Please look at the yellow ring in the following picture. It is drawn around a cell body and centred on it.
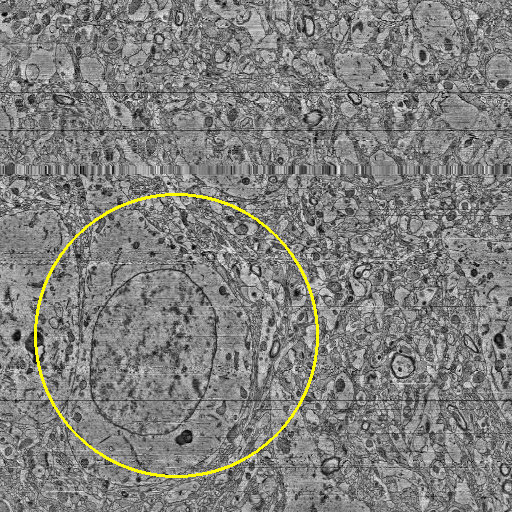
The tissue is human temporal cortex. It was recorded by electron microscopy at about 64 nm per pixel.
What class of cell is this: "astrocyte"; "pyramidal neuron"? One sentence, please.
The ring surrounds the cell body of a pyramidal neuron.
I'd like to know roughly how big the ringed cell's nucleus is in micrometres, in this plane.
Approximately 11 by 8 micrometers in this plane.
